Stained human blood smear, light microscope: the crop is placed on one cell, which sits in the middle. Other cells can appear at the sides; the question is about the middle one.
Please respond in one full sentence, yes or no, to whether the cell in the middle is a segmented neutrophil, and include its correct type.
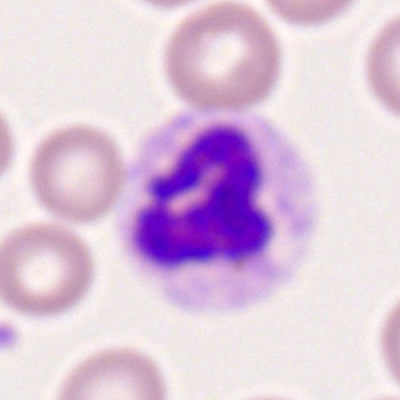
Yes, the middle cell is properly termed a segmented neutrophil.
